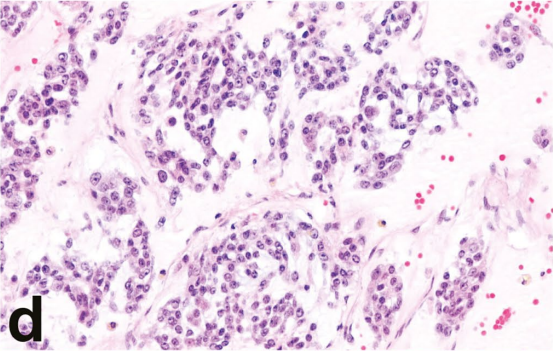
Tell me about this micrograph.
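Here tumour cells lie in small cords, narrow strands and little clusters floating in a pale, loose background material. The cells are small with round to oval nuclei that are fairly uniform, and their cytoplasm is scant and pale. Some clusters enclose small round spaces, giving a microcystic look. Delicate fibrous strands and a few red blood cells lie between the groups.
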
